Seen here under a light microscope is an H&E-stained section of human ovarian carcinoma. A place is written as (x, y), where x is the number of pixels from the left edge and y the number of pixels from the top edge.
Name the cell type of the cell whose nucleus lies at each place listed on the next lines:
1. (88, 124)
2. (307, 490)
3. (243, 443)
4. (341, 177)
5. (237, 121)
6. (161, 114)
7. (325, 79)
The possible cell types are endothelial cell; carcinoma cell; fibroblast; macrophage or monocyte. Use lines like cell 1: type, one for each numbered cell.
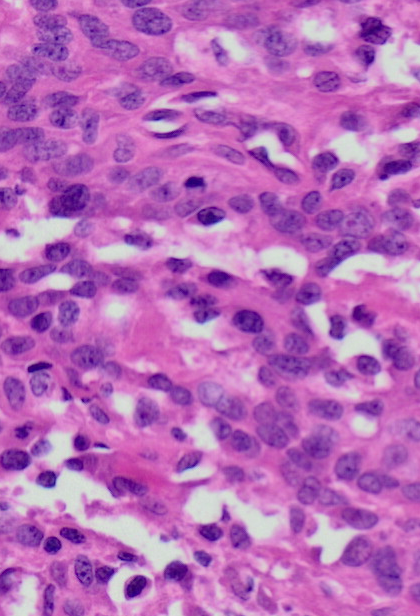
cell 1: macrophage or monocyte
cell 2: carcinoma cell
cell 3: carcinoma cell
cell 4: macrophage or monocyte
cell 5: endothelial cell
cell 6: endothelial cell
cell 7: macrophage or monocyte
